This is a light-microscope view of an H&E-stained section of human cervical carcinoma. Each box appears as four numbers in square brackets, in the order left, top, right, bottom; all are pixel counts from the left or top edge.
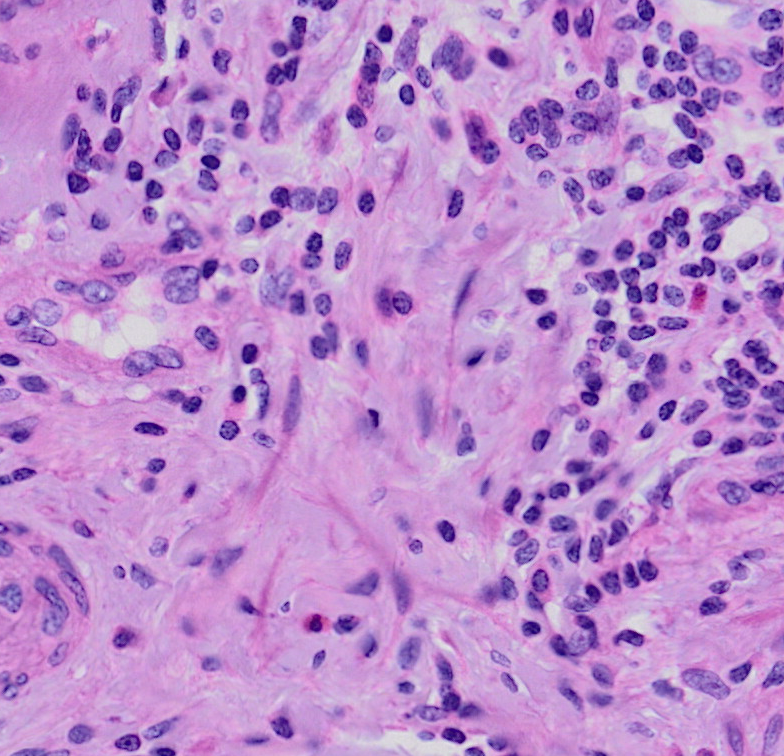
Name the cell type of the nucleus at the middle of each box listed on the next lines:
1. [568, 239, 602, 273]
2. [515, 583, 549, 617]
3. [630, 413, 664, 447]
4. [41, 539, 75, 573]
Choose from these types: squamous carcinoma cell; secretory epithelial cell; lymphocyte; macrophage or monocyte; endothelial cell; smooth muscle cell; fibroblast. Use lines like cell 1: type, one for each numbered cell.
cell 1: lymphocyte
cell 2: lymphocyte
cell 3: lymphocyte
cell 4: smooth muscle cell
